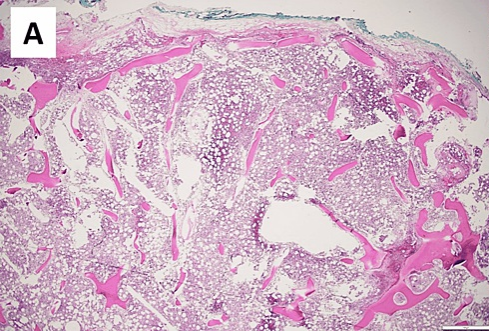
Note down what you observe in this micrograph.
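At low power, the mass is made of bone trabeculae with marrow filling the spaces between them. The trabeculae are thin, branching, bright pink strands, thicker near the outer edge. Between them lies densely cellular purple marrow dotted with small round clear spaces, which are fat. The top edge is bordered by a pink fibrous rim.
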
